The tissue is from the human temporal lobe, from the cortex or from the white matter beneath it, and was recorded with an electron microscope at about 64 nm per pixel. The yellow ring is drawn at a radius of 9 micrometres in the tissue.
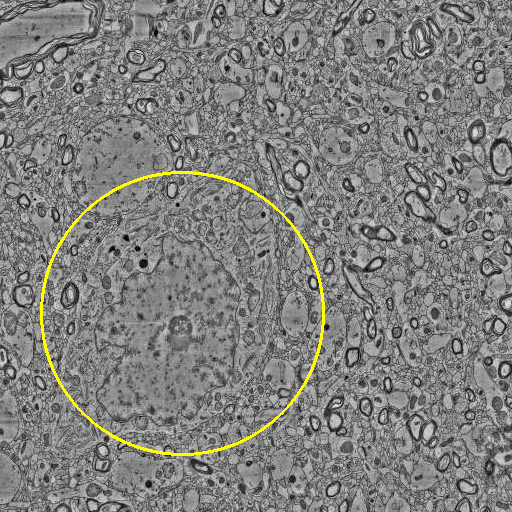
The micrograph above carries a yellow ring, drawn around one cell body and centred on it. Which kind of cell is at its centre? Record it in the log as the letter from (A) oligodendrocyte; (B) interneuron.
B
